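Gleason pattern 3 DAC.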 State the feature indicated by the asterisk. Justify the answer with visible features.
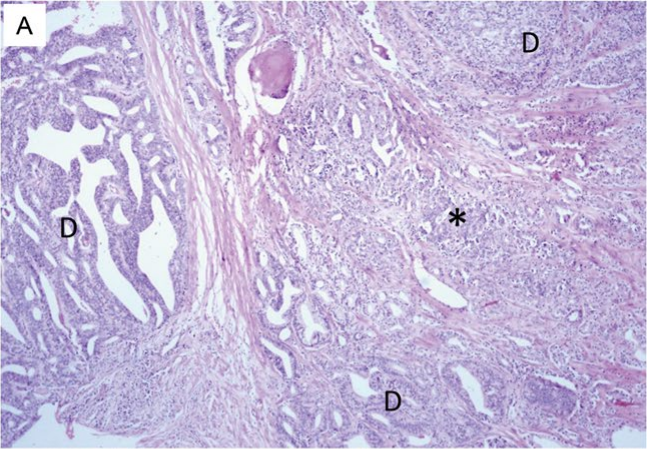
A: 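Small separate gland-like tubules with open lumens lie around the asterisk. They sit in pink fibrous stroma between larger crowded glandular areas.
Hence: tubular structures.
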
